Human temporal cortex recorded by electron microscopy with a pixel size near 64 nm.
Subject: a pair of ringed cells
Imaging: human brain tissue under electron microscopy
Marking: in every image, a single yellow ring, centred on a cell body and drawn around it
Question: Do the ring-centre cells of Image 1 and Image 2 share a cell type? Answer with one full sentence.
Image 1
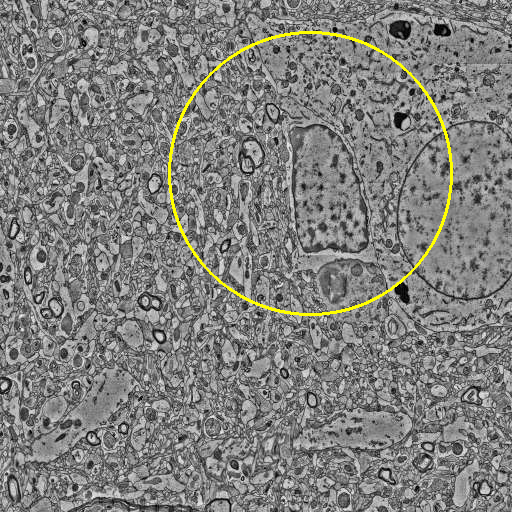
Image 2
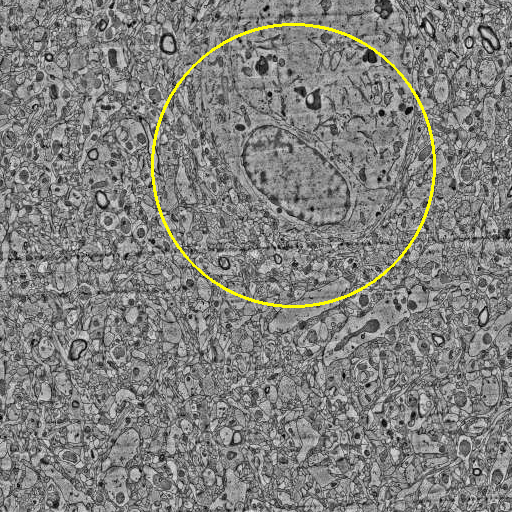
Yes, at each ring's centre in the images sits a cell of one common type.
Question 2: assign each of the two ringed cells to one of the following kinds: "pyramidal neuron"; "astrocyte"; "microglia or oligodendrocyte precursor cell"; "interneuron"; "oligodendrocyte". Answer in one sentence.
The cell at the ring centre is a microglial cell or oligodendrocyte precursor cell in both pictures.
